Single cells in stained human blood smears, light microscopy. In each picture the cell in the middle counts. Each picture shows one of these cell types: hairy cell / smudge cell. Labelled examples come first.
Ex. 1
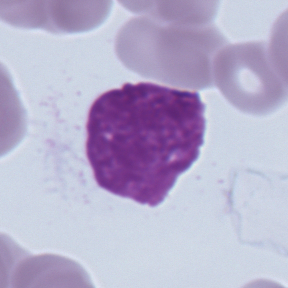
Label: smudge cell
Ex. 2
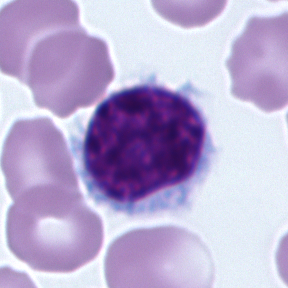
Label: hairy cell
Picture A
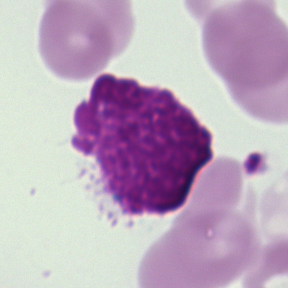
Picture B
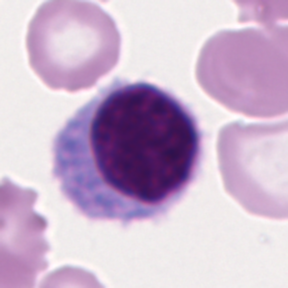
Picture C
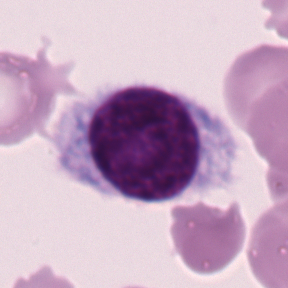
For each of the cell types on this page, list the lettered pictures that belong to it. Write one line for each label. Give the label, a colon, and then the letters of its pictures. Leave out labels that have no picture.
hairy cell: B, C
smudge cell: A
